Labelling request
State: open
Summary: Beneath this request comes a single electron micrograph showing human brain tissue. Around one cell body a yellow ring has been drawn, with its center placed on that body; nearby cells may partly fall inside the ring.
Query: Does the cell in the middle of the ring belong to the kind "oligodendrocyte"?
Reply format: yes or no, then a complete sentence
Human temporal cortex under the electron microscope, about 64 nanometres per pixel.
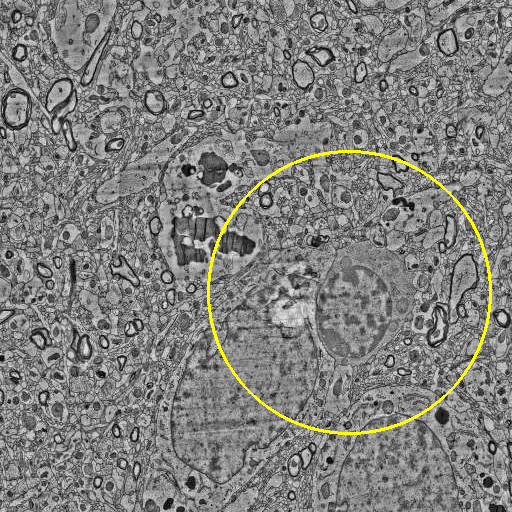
Yes, the cell sitting at the center of the ring in this picture is of that kind.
